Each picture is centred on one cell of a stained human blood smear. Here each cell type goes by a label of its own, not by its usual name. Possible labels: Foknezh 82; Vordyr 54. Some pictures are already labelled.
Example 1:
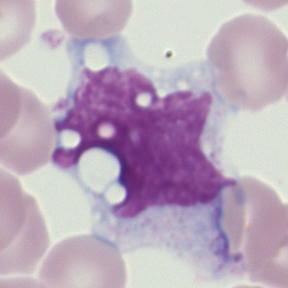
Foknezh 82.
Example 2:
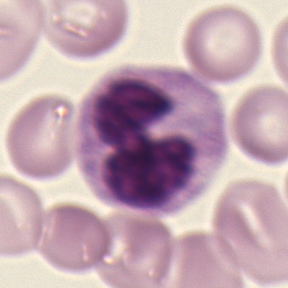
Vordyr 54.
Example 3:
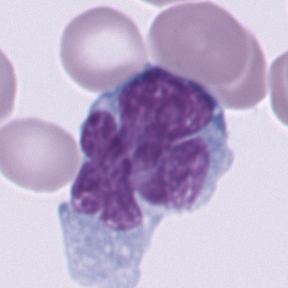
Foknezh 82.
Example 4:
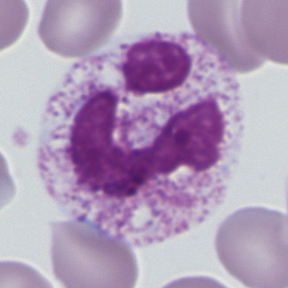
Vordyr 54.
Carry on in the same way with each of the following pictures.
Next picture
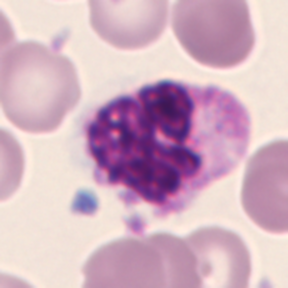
Vordyr 54.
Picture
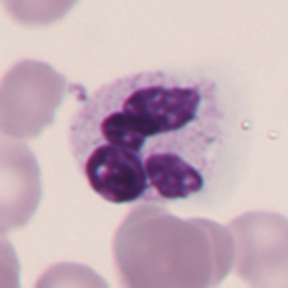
Vordyr 54.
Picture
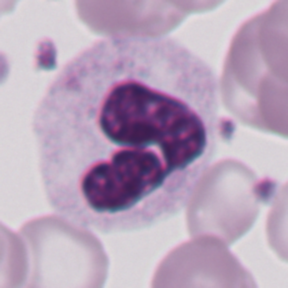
Vordyr 54.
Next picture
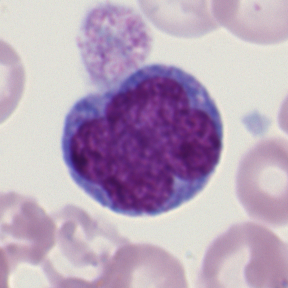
Foknezh 82.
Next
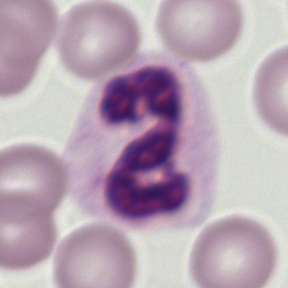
Vordyr 54.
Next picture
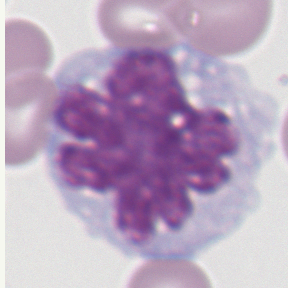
Foknezh 82.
